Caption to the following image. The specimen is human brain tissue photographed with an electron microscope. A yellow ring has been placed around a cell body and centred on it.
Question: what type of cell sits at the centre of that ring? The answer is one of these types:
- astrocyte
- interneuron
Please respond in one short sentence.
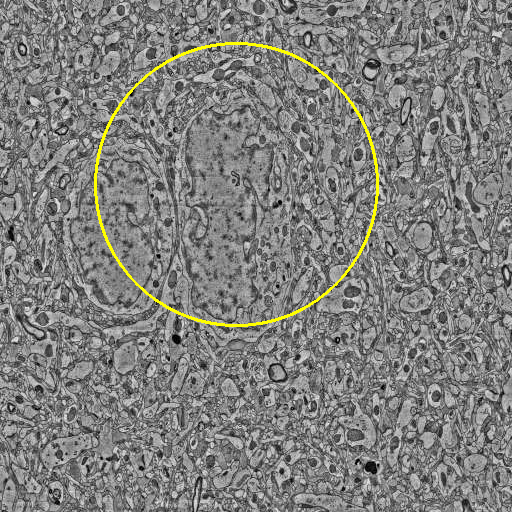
The ring surrounds the cell body of an interneuron.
